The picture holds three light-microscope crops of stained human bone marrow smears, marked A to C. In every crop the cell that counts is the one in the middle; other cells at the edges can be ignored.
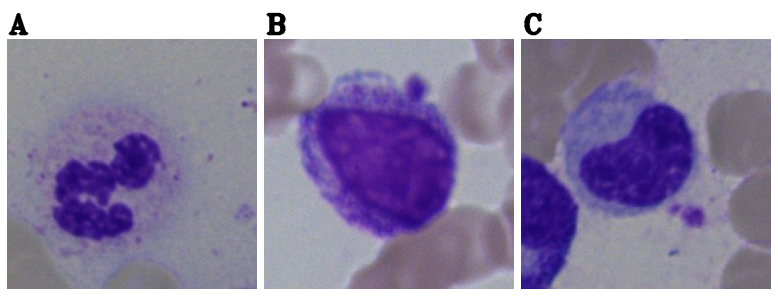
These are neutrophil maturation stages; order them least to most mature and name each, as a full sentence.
In sequence of increasing maturity, the order is crop B (a myelocyte), crop C (a band neutrophil) and crop A (a segmented neutrophil).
